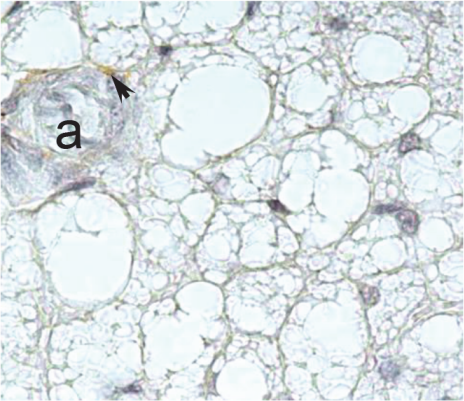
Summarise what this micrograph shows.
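This field shows brown adipose tissue with brown adipocytes and a small arteriole at the left edge. The adipocytes are mostly filled with numerous small clear lipid droplets, with a few larger droplets in some cells. The arteriole appears as a round structure with a layered, concentric wall. Brown-stained fibers are sparse, with a small brown deposit near the arteriole and adjacent adipocytes. Pale grey-blue nuclei are scattered in the thin septa between cells.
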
